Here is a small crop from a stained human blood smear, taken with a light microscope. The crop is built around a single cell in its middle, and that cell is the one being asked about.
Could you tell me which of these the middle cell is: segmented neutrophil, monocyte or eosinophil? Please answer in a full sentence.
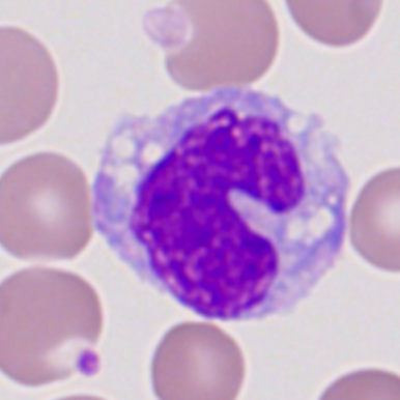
In the centre of this crop there is a monocyte.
